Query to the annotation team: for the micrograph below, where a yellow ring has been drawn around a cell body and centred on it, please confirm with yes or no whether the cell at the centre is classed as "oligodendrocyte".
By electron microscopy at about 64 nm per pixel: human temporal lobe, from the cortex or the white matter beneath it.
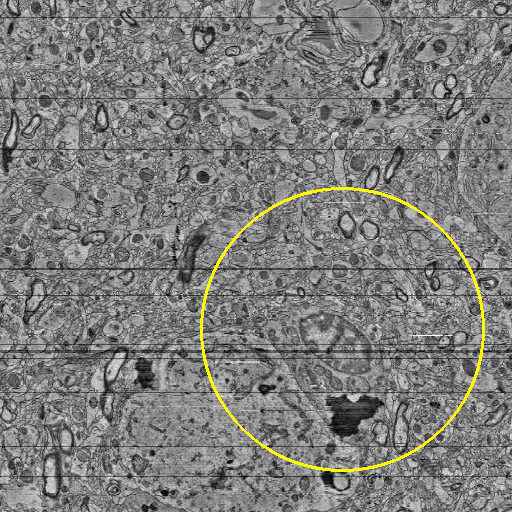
Yes, it is classed that way.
